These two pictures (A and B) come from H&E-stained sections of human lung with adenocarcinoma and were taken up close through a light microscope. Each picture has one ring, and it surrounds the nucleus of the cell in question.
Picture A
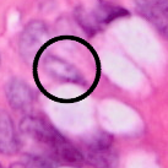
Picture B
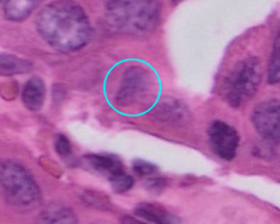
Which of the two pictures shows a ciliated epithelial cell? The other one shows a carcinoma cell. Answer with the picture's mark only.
A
